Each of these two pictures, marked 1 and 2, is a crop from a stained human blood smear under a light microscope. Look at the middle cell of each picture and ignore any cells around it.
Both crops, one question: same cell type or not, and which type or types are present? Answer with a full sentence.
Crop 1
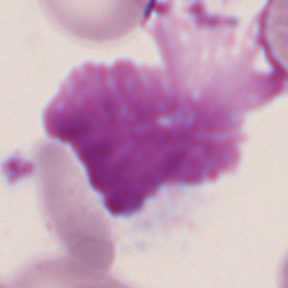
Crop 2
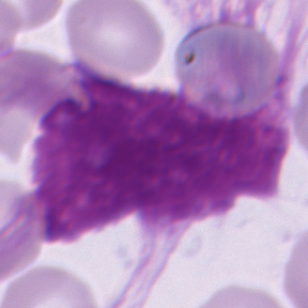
Yes, in the middle of both crops lie smudge cells.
